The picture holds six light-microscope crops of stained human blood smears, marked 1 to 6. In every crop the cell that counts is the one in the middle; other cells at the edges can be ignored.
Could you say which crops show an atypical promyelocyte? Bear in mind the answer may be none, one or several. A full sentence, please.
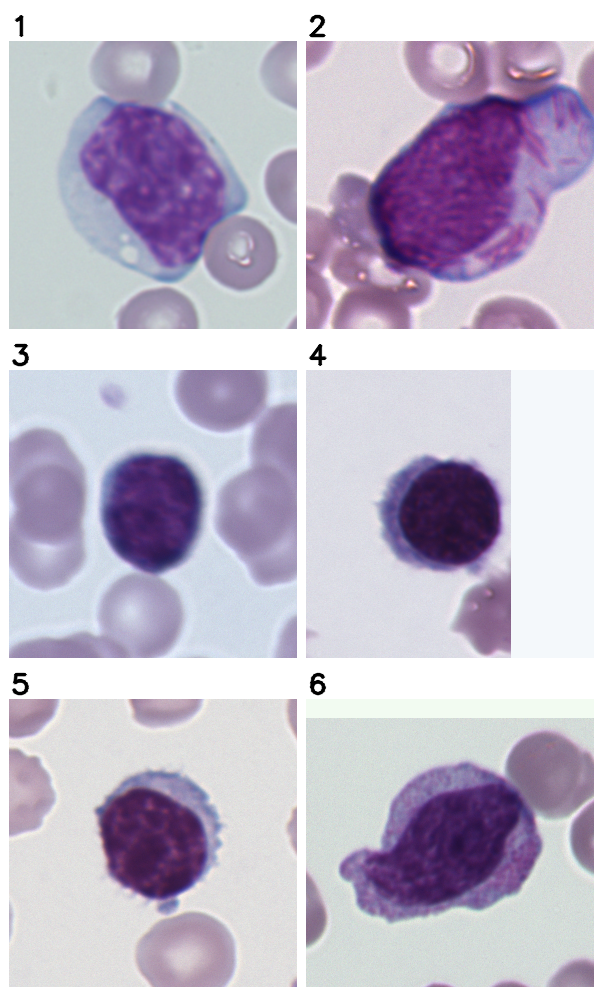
The central cells in crops 2 and 6 are recognised as atypical promyelocytes.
